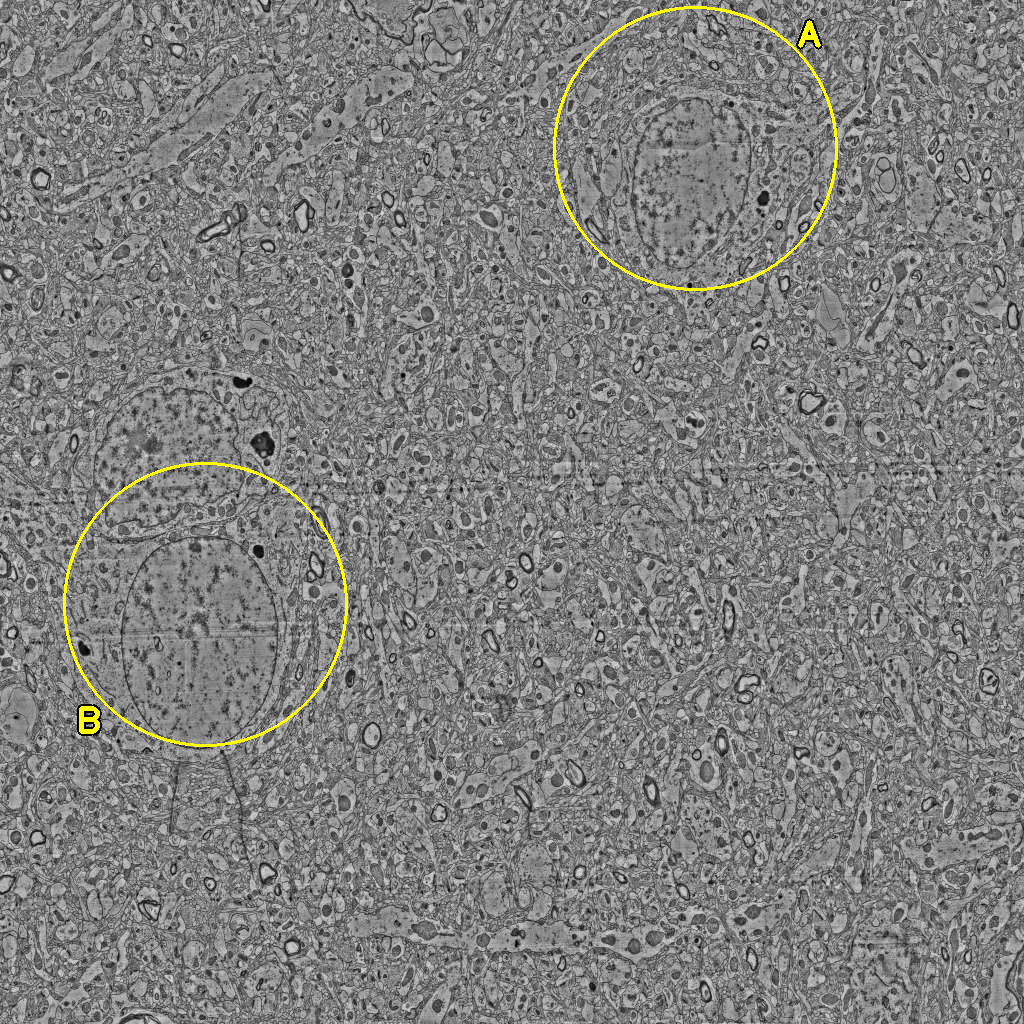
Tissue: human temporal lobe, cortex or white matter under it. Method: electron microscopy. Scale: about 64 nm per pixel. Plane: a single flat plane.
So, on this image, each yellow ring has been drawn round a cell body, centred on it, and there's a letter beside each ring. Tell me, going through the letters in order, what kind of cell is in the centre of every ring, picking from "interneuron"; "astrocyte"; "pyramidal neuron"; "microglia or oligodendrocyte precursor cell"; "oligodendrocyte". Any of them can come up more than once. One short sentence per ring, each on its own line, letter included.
Ring A has been drawn round an interneuron.
Ring B has been drawn round a pyramidal neuron.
